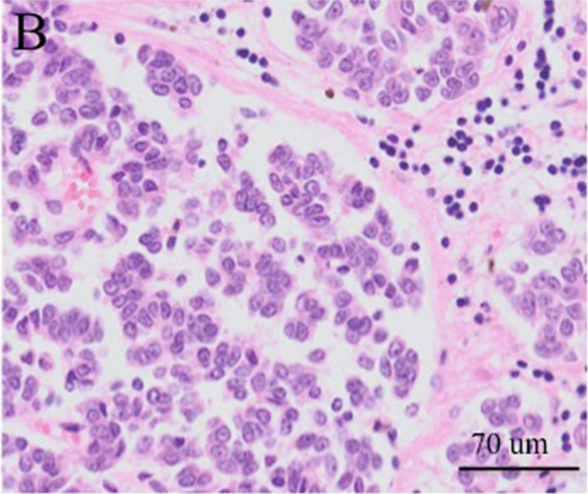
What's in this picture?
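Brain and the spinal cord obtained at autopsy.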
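This shows a leptomeningeal proliferation of melanocytic cells arranged in nests and small sheets separated by thin pink fibrous strands. The cells are epithelioid with moderate pale pink cytoplasm and round to oval nuclei with finely dispersed chromatin and visible nucleoli. Scattered small dark round cells resembling lymphocytes and a few red blood cells lie between the nests, and occasional tiny brown pigment granules are present.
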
